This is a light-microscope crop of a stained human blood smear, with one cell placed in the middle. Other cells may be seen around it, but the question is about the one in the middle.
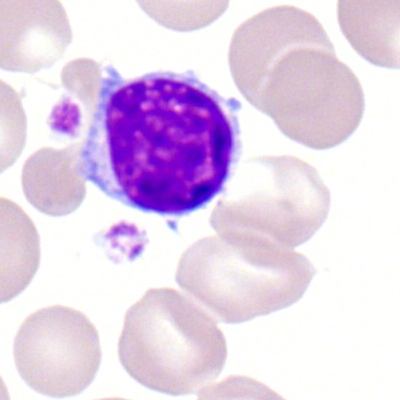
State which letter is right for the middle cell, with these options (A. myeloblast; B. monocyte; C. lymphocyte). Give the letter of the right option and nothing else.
C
